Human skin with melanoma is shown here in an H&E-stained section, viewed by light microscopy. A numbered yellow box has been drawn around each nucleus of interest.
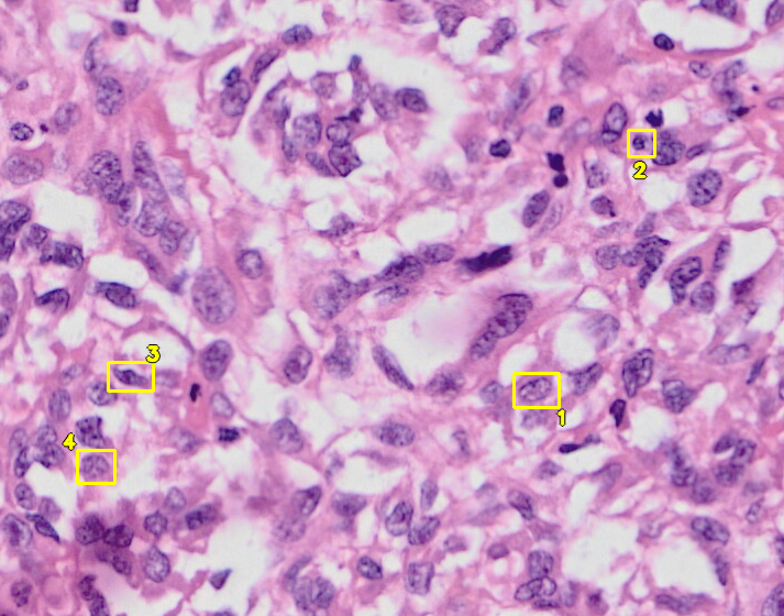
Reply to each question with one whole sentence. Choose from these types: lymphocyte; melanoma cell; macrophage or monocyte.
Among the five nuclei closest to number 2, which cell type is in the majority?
Melanoma cells make up most of the five nuclei closest to number 2.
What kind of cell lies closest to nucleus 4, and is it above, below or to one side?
It is a melanoma cell, whose nucleus lies above nucleus 4.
